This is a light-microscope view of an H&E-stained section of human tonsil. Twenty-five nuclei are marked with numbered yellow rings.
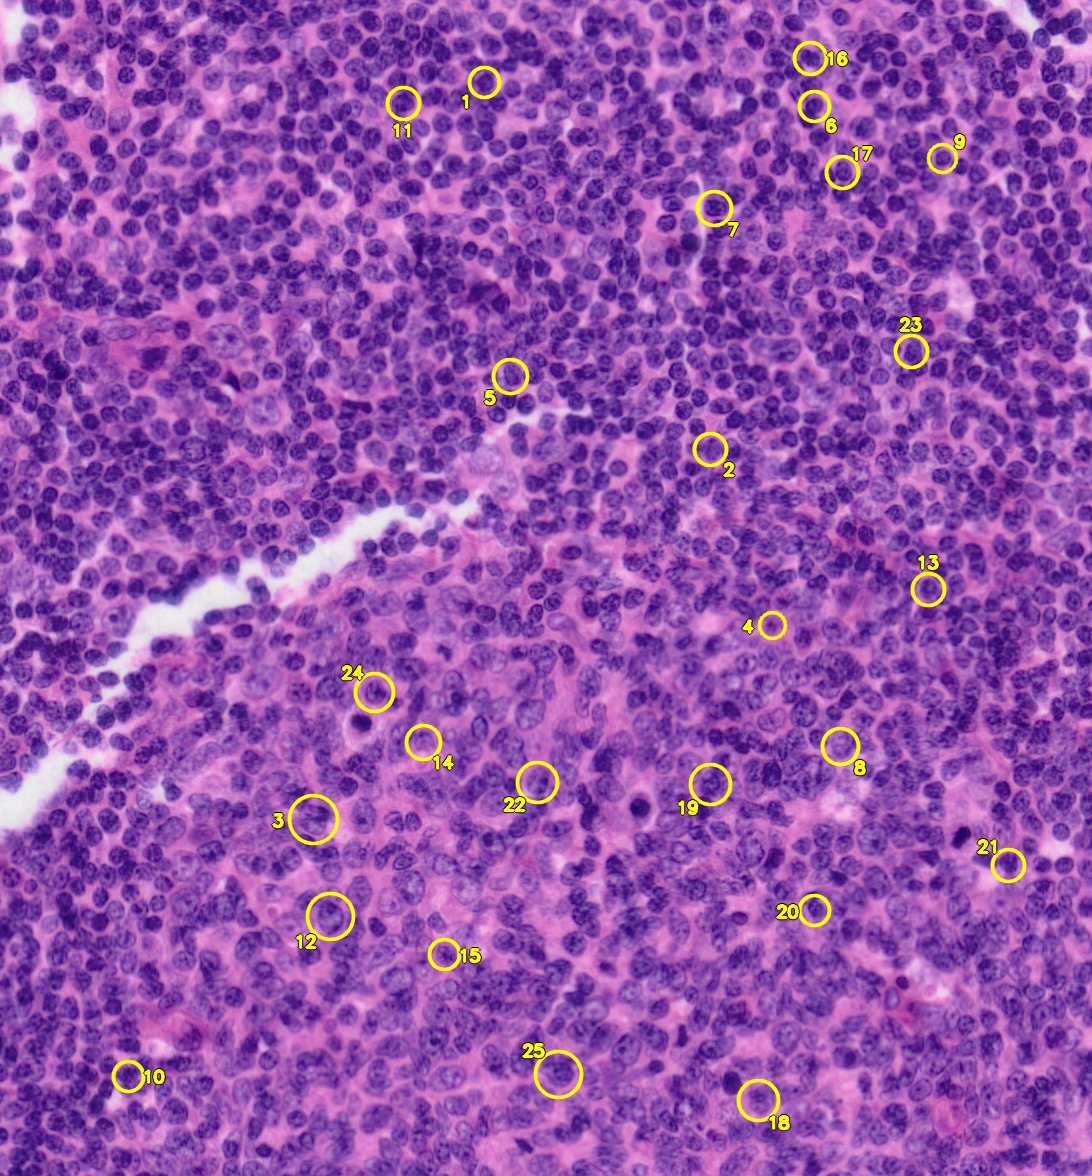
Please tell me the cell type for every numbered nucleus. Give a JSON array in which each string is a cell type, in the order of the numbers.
["small lymphocyte", "small lymphocyte", "proliferating B cell", "proliferating B cell", "small lymphocyte", "small lymphocyte", "small lymphocyte", "proliferating B cell", "small lymphocyte", "small lymphocyte", "small lymphocyte", "proliferating B cell", "small lymphocyte", "proliferating B cell", "proliferating B cell", "small lymphocyte", "small lymphocyte", "proliferating B cell", "proliferating B cell", "proliferating B cell", "proliferating B cell", "proliferating B cell", "small lymphocyte", "proliferating B cell", "proliferating B cell"]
